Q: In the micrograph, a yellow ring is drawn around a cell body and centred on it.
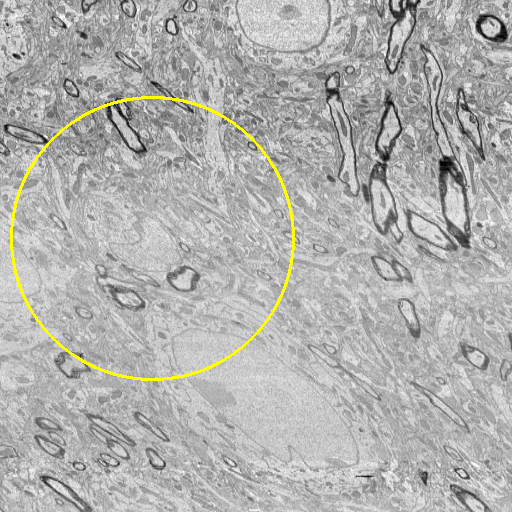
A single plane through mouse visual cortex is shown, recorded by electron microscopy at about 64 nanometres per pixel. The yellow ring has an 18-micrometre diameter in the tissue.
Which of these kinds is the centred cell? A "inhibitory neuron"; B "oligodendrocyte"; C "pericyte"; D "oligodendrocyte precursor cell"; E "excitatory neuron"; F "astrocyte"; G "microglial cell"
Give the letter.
D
